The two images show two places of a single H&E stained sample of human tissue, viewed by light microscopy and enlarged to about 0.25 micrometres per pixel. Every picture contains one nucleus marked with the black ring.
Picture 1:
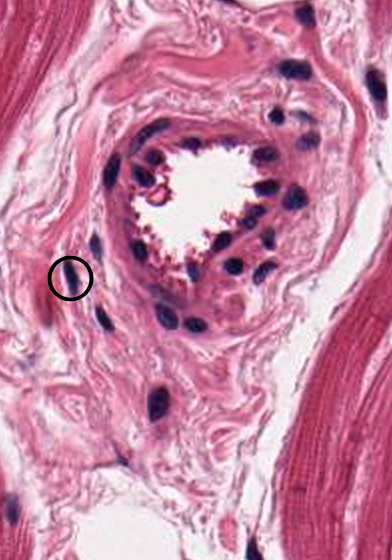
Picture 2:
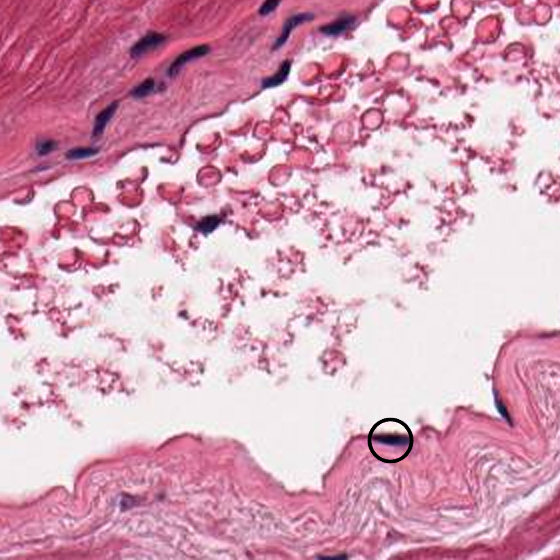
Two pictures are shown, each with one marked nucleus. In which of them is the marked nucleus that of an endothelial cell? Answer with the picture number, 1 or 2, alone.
2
